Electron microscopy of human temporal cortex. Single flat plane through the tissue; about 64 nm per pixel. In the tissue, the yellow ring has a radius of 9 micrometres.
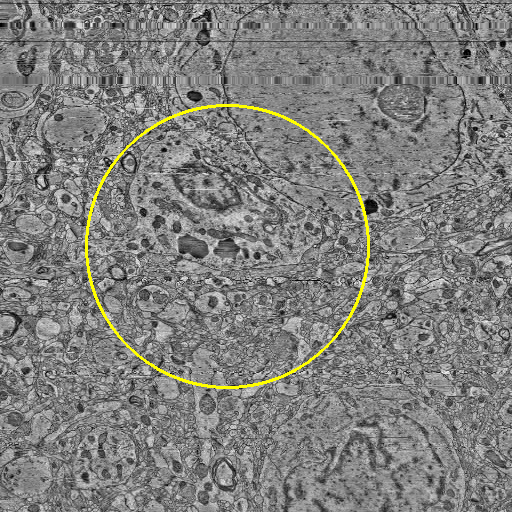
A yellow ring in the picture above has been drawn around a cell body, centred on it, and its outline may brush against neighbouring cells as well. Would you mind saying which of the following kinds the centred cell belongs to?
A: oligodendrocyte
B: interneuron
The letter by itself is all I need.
B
